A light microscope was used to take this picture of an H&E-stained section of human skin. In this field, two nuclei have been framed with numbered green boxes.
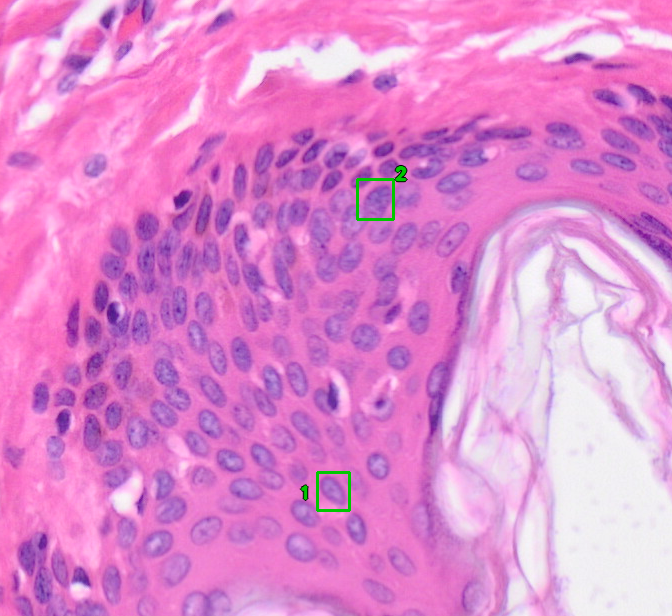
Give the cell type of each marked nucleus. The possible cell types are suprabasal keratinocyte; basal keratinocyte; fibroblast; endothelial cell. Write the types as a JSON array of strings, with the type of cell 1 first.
["suprabasal keratinocyte", "basal keratinocyte"]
